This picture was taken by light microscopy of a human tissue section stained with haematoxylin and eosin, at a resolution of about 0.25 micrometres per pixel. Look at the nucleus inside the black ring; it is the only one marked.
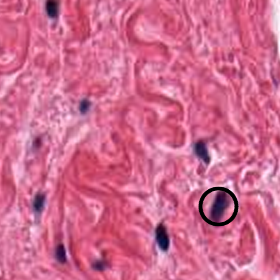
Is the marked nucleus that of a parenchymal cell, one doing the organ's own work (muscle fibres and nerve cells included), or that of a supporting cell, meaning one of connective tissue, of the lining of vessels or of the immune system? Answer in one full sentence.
Attributed to a supporting cell is the marked nucleus.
